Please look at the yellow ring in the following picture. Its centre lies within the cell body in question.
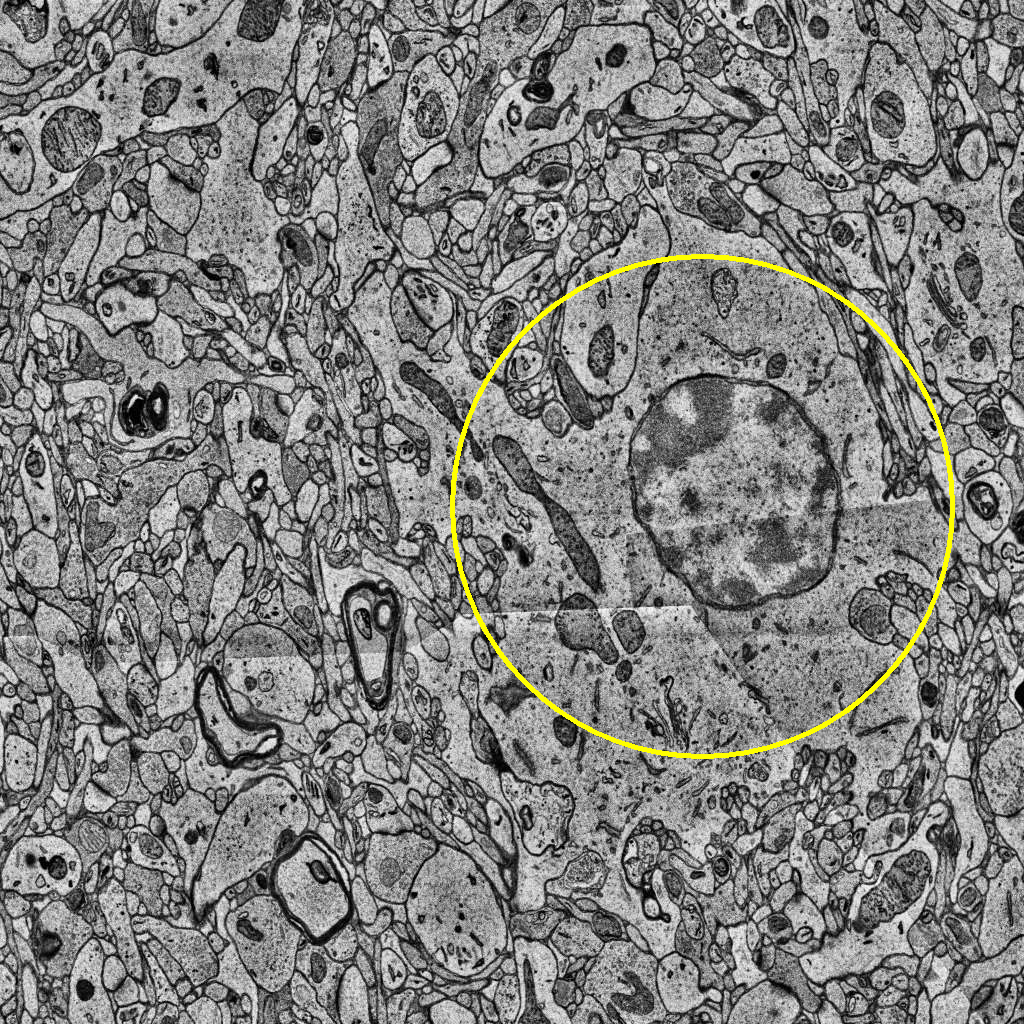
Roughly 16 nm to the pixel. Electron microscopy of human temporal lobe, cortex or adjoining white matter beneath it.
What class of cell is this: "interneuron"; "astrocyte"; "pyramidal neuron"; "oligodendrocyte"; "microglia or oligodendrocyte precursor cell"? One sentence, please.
The centre of the ring lies in the cell body of an astrocyte.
